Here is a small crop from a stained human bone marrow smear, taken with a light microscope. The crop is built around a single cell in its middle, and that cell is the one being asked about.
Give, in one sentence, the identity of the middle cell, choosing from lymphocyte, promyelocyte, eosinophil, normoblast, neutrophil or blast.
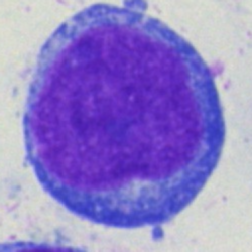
Centred in the crop is a blast.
